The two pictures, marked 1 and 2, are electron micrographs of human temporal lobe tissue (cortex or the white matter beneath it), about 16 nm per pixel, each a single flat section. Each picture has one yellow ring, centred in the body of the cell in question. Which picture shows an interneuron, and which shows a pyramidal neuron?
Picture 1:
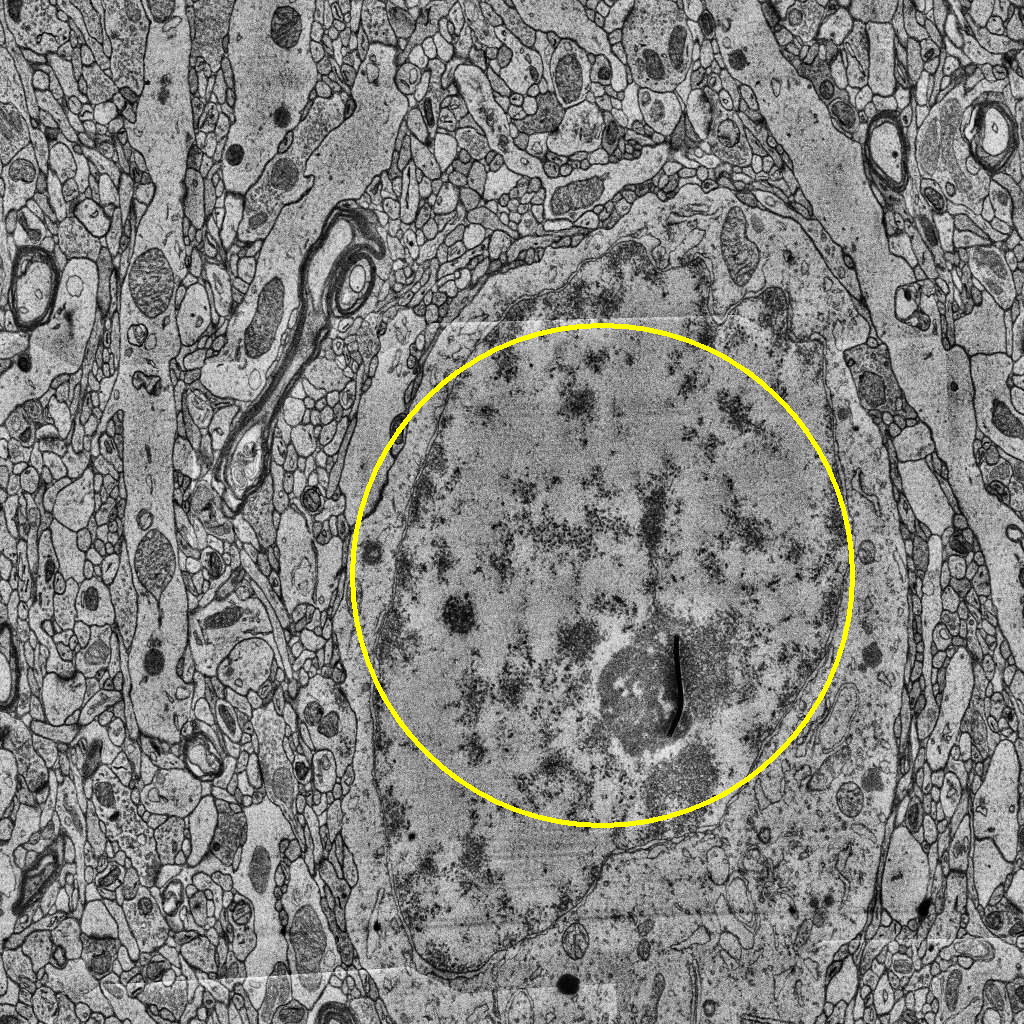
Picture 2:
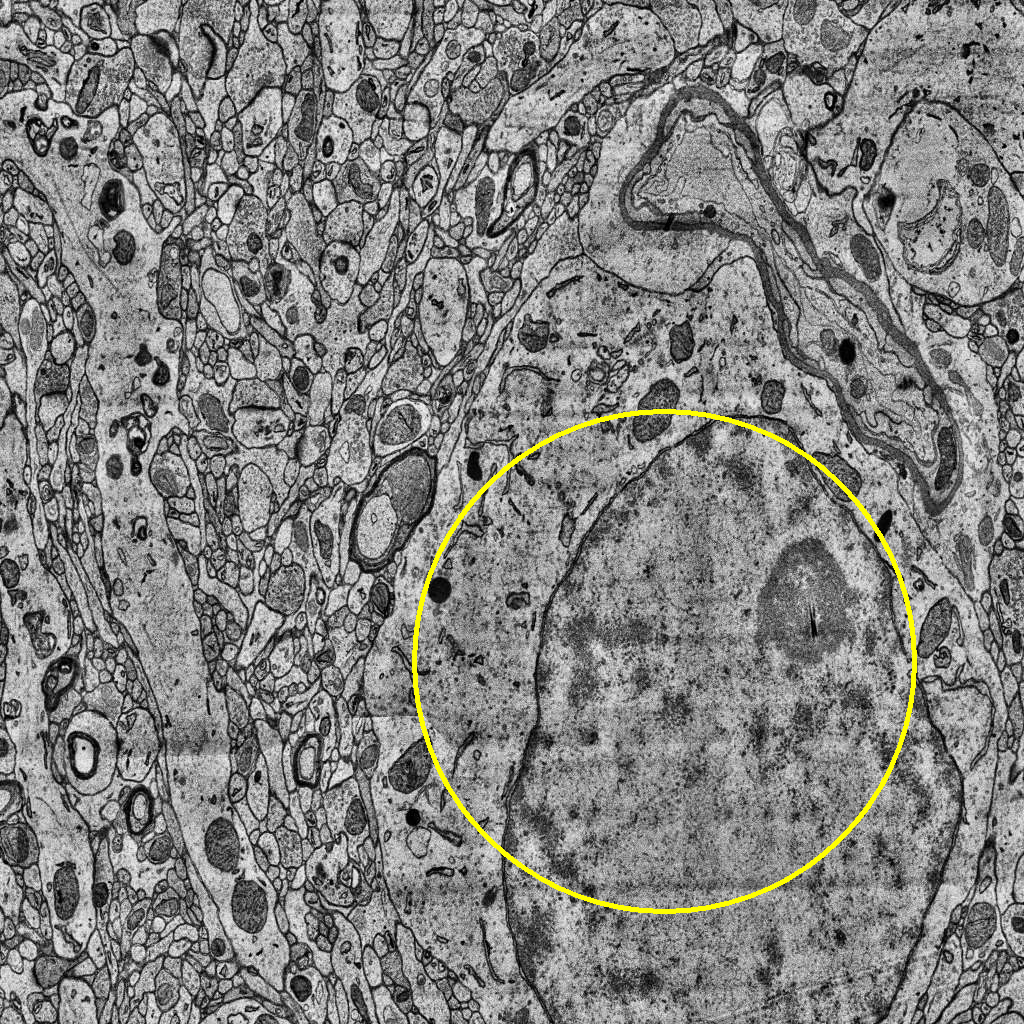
Picture 1 shows an interneuron and picture 2 shows a pyramidal neuron.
